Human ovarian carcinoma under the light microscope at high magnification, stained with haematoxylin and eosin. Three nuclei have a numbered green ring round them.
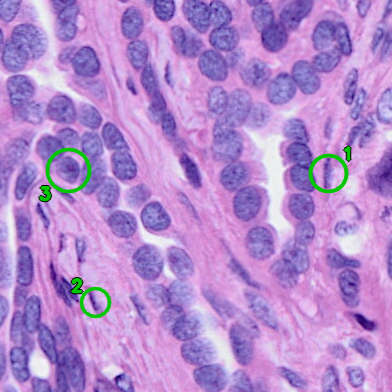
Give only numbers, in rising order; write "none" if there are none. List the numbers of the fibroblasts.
1, 2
